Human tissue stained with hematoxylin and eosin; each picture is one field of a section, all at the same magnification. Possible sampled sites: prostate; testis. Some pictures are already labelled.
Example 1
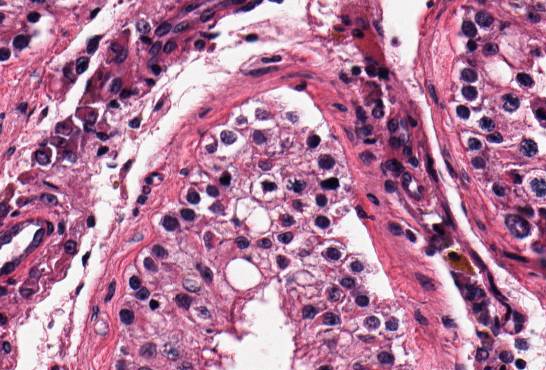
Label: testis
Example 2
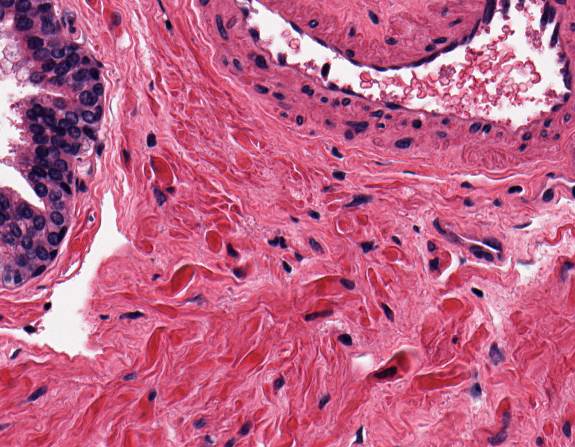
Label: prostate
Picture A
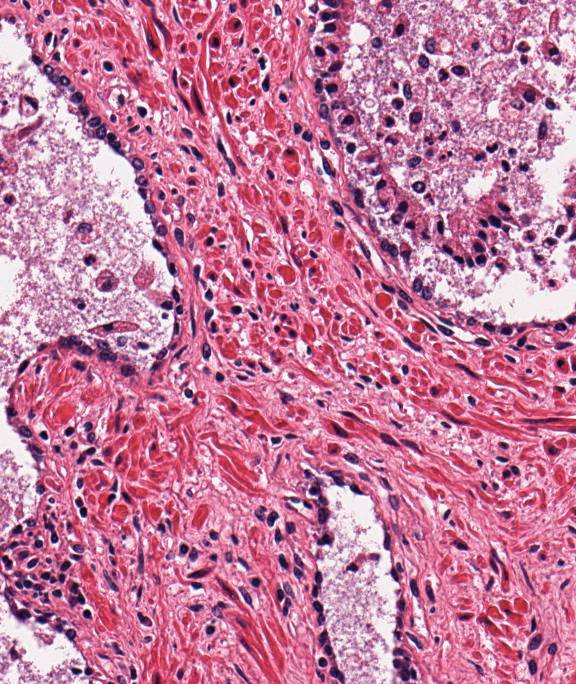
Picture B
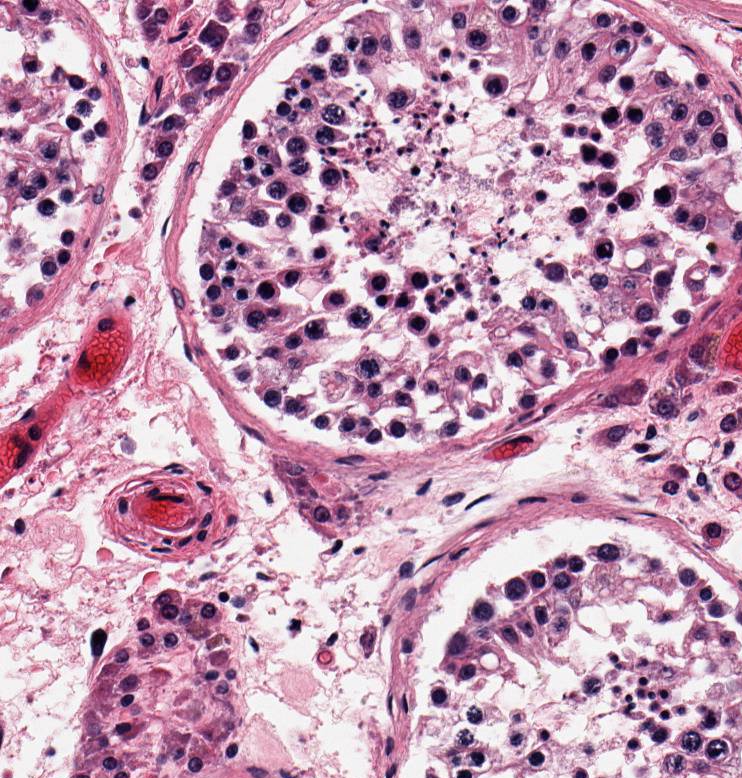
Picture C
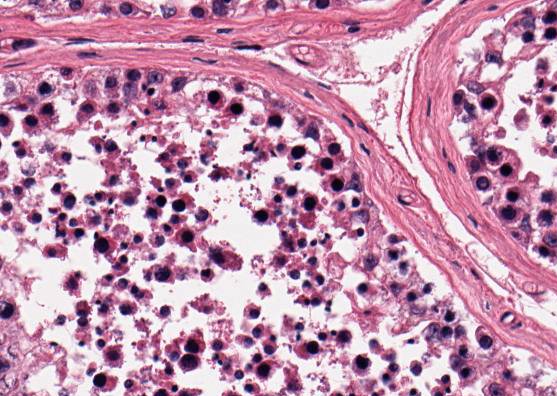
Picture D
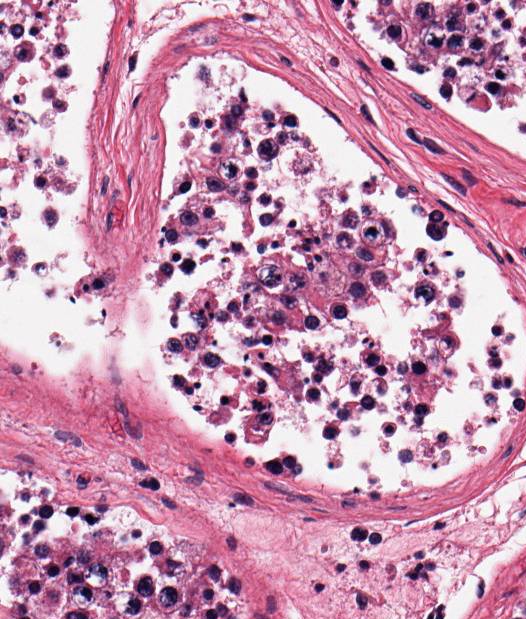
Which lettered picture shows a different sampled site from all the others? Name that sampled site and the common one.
A differs and shows prostate; the others show testis.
